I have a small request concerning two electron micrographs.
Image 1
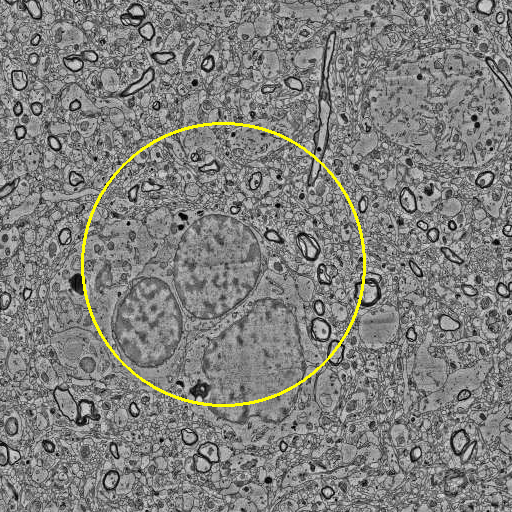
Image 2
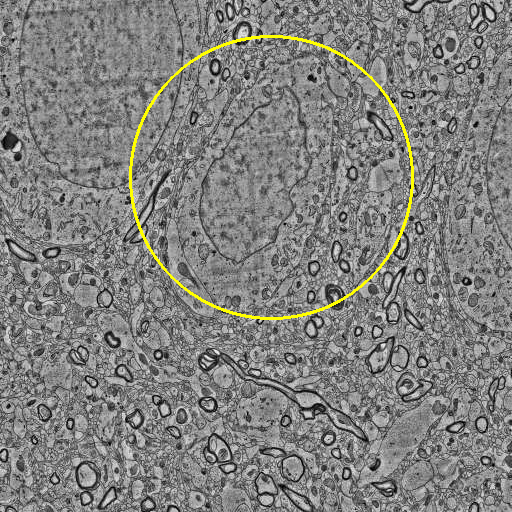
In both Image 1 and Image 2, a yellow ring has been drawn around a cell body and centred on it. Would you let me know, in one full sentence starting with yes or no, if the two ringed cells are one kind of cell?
No, the cells ringed in Image 1 and Image 2 are two kinds of cell.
